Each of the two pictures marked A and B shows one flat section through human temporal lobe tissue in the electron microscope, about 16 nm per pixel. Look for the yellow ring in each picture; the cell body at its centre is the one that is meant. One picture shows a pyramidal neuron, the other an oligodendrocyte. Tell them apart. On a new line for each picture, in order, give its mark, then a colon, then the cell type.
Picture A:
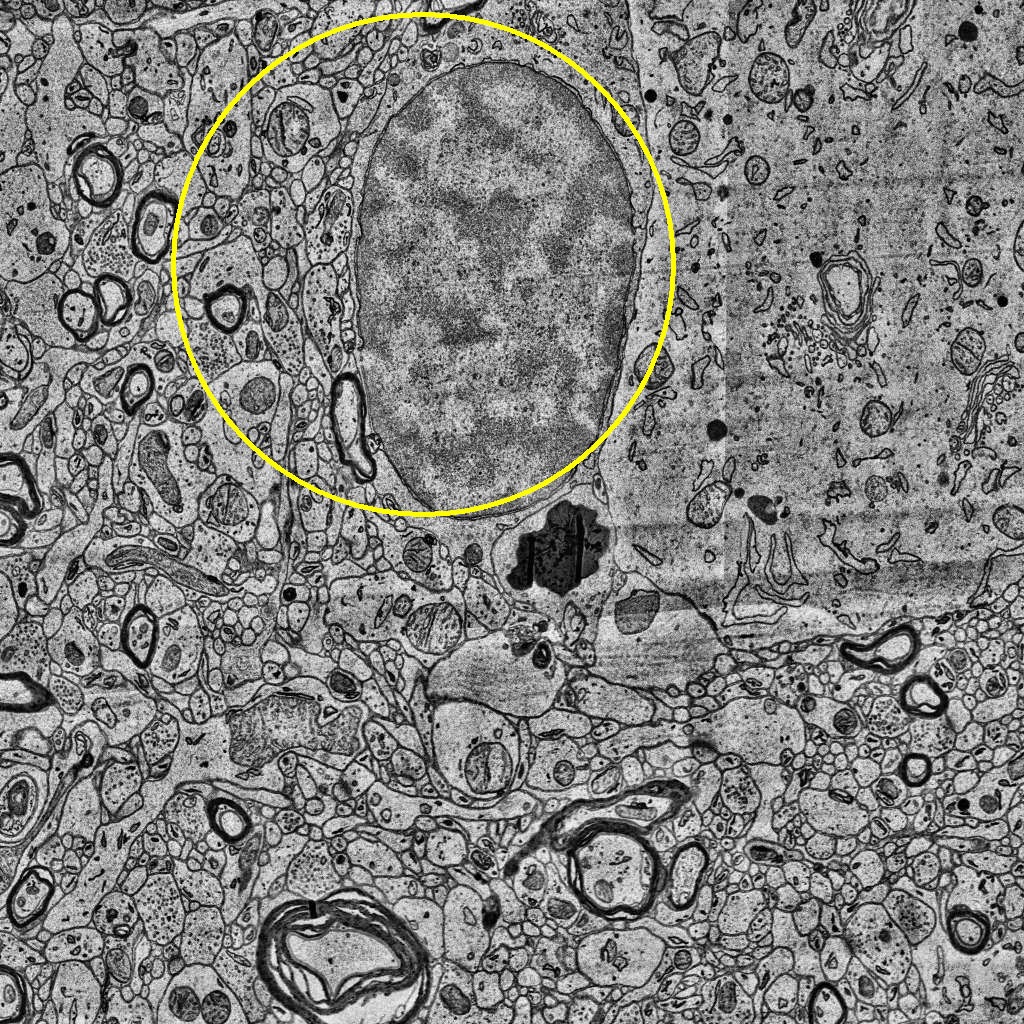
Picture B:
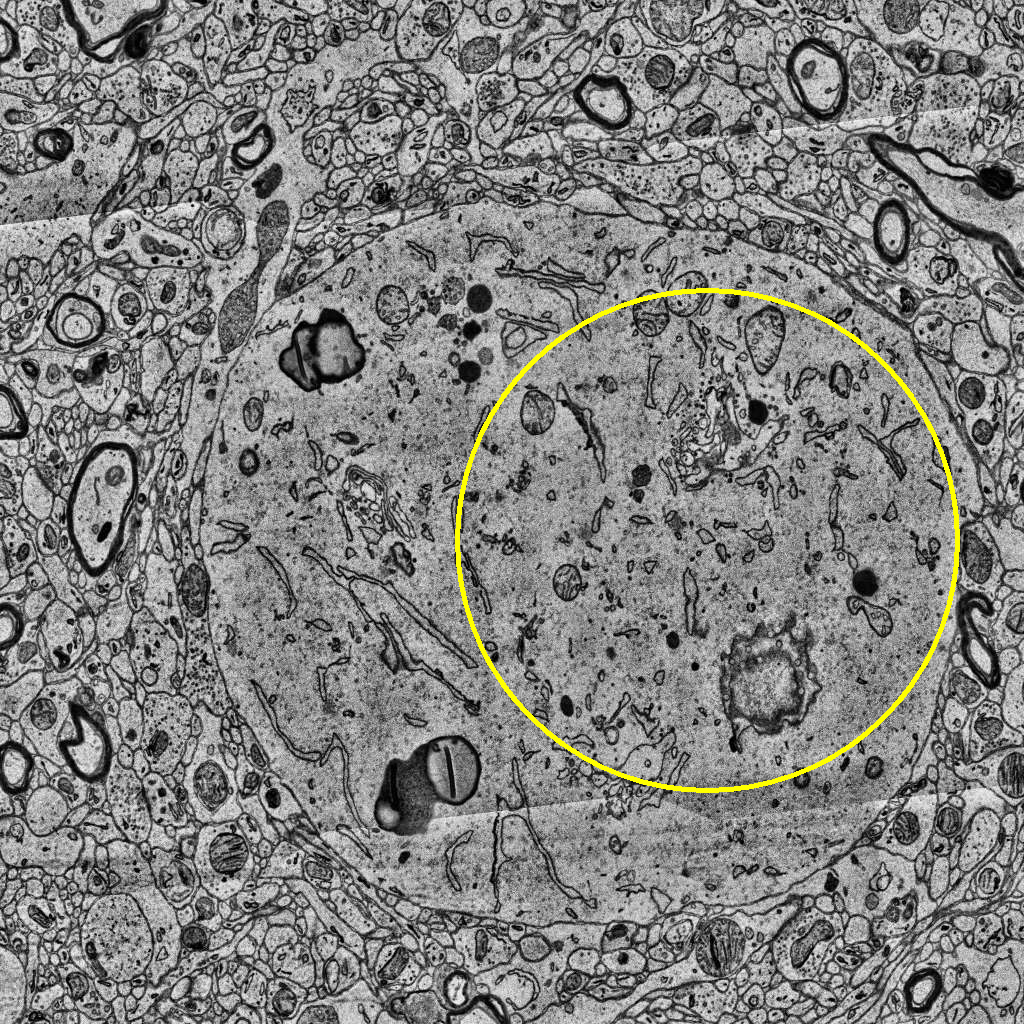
A: oligodendrocyte
B: pyramidal neuron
